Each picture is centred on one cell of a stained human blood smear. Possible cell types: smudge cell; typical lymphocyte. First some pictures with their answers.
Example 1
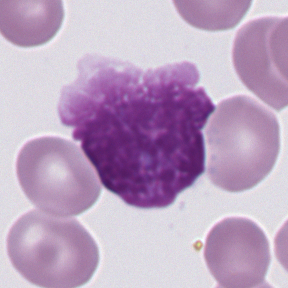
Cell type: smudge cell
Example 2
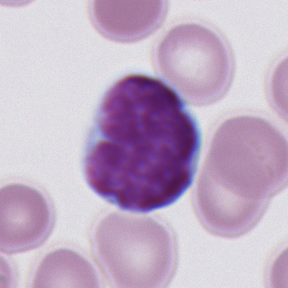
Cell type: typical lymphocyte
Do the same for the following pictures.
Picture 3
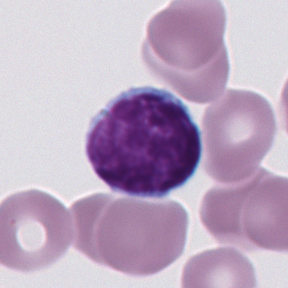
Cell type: typical lymphocyte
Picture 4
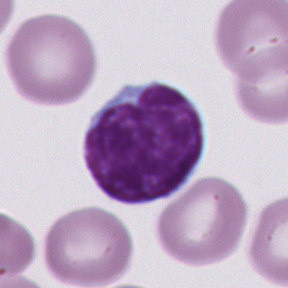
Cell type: typical lymphocyte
